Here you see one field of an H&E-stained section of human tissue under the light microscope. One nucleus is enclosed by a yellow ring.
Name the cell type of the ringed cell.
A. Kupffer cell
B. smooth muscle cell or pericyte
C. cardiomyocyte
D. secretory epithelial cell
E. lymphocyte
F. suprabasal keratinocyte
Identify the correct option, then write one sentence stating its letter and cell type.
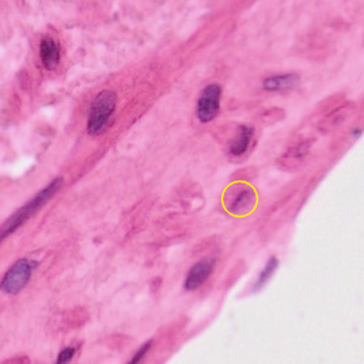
Identified correctly by option B, the ringed cell is a smooth muscle cell or pericyte.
